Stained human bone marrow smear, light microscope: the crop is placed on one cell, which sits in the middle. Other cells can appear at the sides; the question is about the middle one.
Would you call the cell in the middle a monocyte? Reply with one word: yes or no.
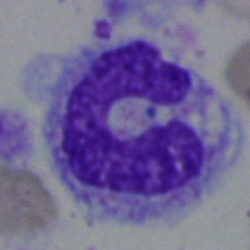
yes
